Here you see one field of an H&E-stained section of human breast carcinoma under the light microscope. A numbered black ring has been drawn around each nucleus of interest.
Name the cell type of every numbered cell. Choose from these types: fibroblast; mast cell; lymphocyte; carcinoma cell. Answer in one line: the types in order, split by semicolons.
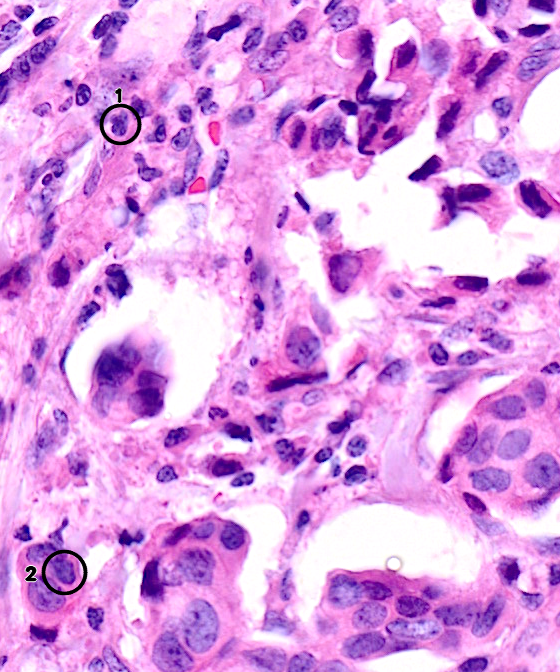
lymphocyte; carcinoma cell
